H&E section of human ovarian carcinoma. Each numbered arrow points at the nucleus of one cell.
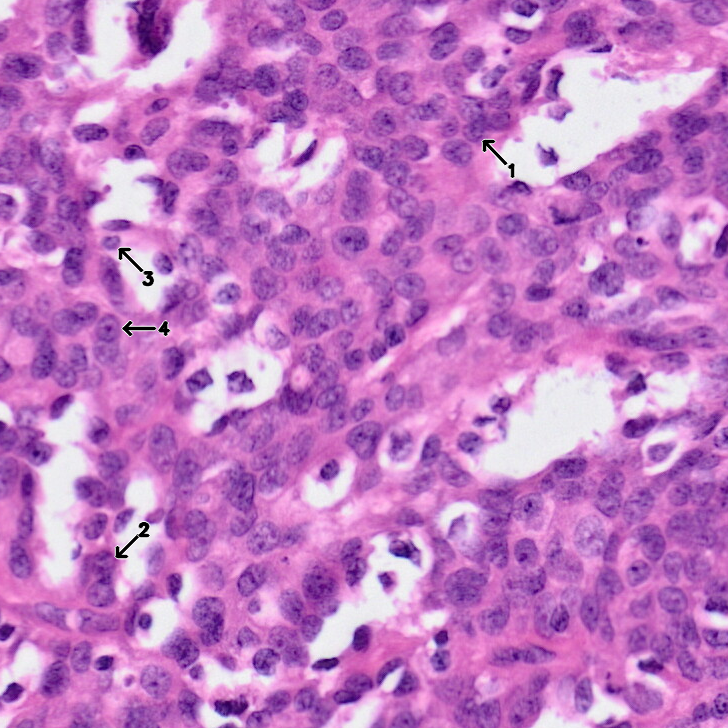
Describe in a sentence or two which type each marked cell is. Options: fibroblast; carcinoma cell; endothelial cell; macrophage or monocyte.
Cells 1, 2 and 4 are carcinoma cells. Cell 3 is a macrophage or monocyte.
